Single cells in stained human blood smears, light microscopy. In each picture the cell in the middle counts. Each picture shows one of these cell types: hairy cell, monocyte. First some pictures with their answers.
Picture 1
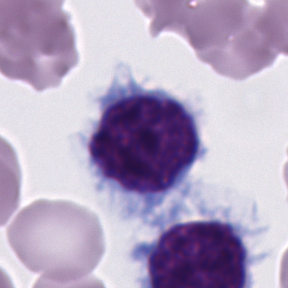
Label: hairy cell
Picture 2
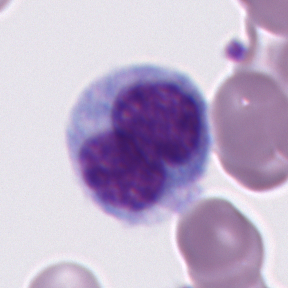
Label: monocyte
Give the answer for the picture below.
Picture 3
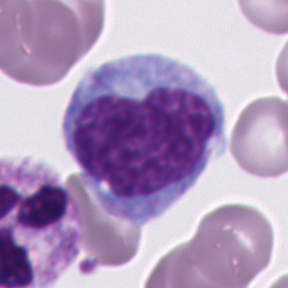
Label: monocyte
